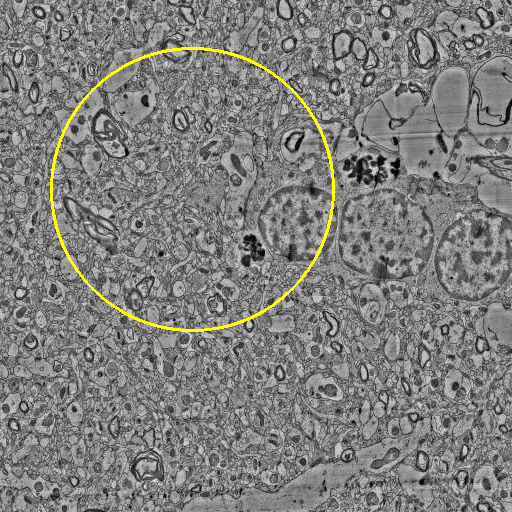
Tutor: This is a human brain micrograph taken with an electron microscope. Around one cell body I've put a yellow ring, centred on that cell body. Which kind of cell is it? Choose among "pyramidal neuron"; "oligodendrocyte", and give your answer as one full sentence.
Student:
Going by your list, the cell centred in the yellow ring is an oligodendrocyte.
